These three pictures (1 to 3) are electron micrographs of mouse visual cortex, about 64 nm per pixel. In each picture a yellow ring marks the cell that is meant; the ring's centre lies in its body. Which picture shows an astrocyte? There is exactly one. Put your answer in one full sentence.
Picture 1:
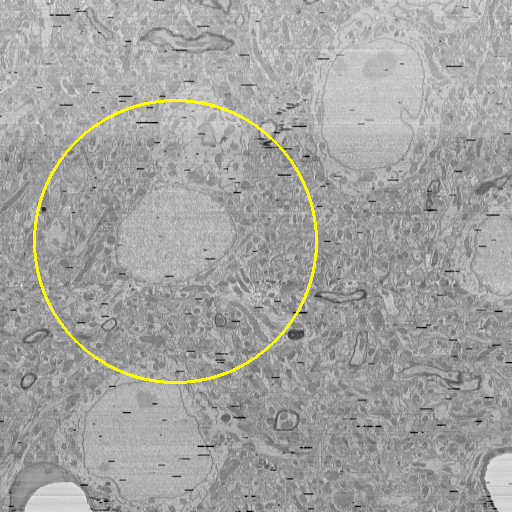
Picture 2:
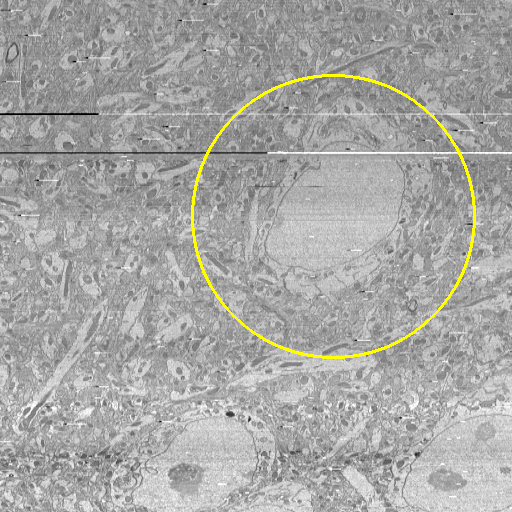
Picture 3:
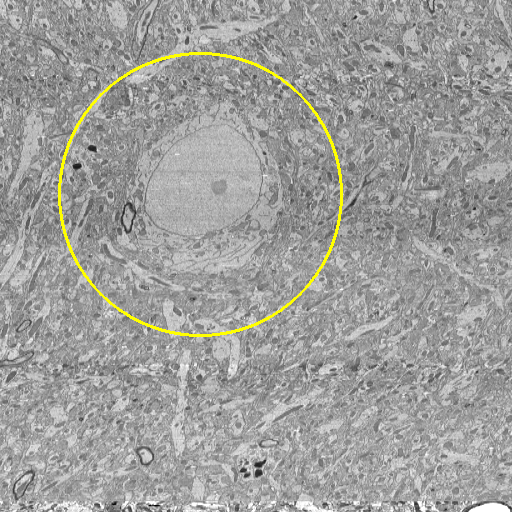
The picture with the astrocyte is 1.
